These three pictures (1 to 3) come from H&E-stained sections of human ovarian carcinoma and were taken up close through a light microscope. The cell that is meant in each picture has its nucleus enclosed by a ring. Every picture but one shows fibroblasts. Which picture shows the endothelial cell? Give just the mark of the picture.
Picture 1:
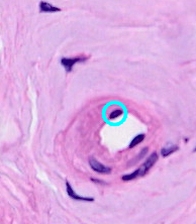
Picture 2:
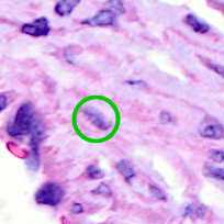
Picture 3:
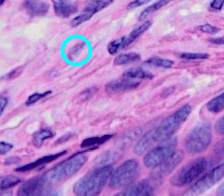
1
